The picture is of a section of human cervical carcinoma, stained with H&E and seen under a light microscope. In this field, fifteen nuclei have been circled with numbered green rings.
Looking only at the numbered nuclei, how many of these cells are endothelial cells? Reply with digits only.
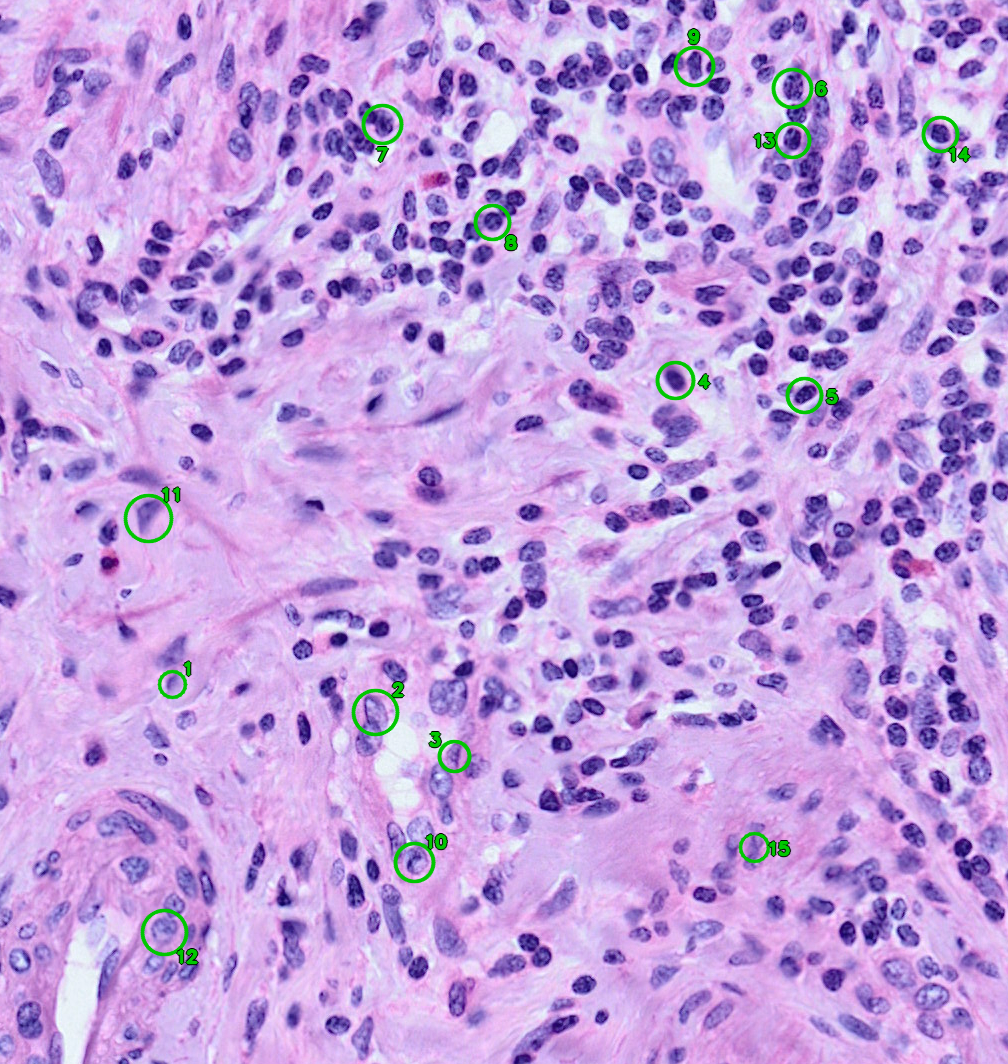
3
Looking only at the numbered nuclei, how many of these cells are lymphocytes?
8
